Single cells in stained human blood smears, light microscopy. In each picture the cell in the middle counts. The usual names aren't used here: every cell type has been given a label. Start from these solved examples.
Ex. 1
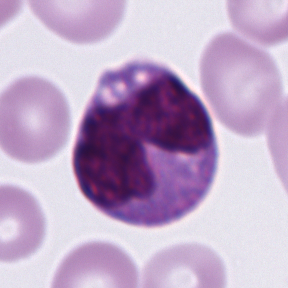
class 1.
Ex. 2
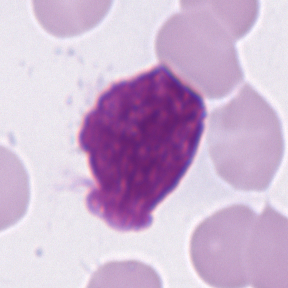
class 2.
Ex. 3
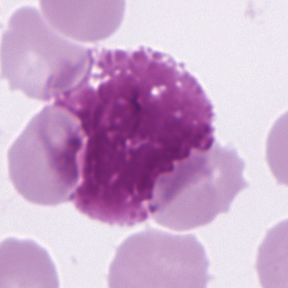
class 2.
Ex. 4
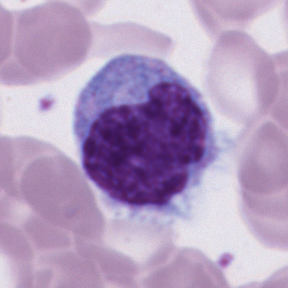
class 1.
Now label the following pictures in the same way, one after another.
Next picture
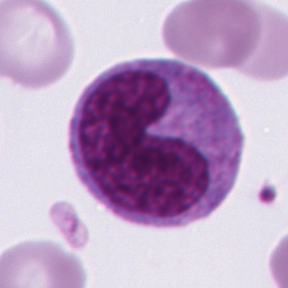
class 1.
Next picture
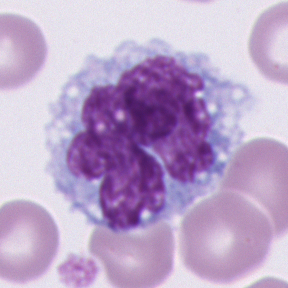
class 1.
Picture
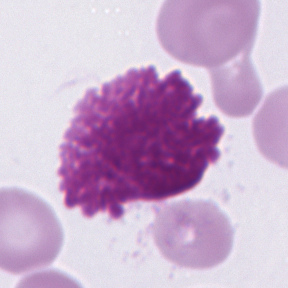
class 2.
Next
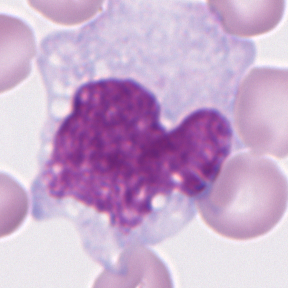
class 1.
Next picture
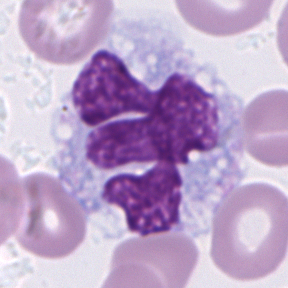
class 1.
